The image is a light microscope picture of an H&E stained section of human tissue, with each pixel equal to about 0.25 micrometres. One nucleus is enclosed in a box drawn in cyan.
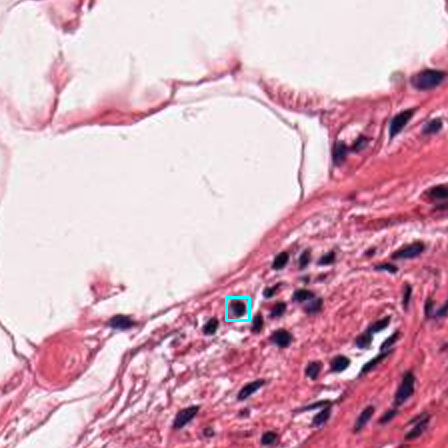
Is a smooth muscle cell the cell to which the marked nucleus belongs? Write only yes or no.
no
